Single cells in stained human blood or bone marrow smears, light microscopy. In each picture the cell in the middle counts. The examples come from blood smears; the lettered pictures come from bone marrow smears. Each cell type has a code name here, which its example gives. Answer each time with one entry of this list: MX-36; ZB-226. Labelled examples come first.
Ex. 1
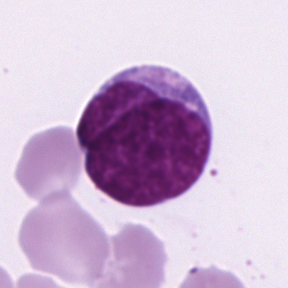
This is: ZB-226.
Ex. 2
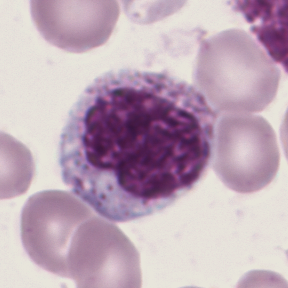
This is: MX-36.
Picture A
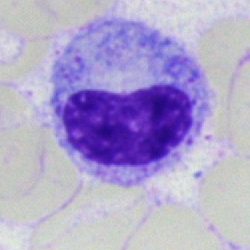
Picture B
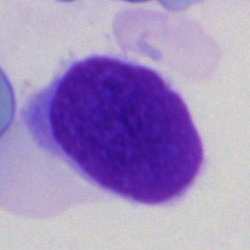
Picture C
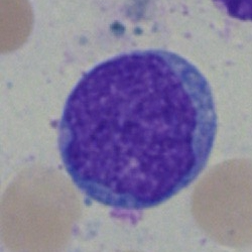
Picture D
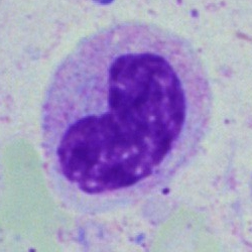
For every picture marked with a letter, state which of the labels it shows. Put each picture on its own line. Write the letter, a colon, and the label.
A: MX-36.
B: ZB-226.
C: ZB-226.
D: MX-36.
